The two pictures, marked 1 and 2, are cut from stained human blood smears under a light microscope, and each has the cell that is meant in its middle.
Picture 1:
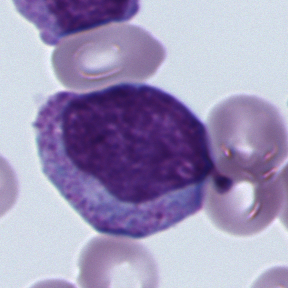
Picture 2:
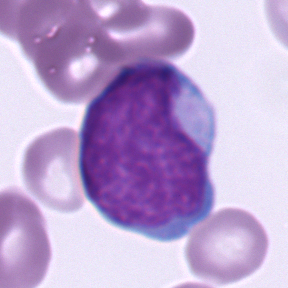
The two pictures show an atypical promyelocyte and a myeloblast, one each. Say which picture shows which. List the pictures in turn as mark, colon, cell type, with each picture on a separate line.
1: atypical promyelocyte
2: myeloblast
